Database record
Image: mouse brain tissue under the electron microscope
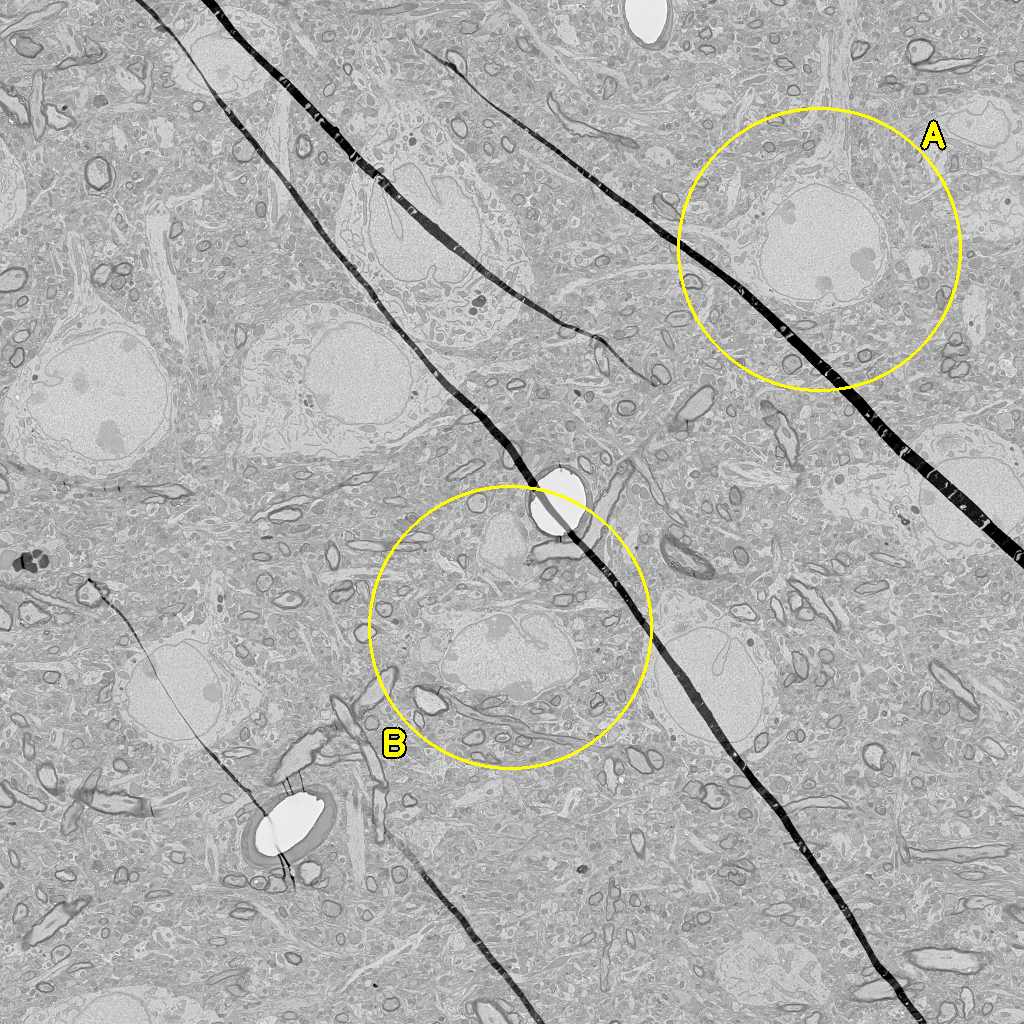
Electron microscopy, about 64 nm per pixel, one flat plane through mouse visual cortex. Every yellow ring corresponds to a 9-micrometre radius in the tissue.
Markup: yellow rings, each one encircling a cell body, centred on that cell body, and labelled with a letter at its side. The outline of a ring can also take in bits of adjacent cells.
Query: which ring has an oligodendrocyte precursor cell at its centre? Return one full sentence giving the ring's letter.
In this image, that kind of cell lies at the centre of the ring labelled B.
